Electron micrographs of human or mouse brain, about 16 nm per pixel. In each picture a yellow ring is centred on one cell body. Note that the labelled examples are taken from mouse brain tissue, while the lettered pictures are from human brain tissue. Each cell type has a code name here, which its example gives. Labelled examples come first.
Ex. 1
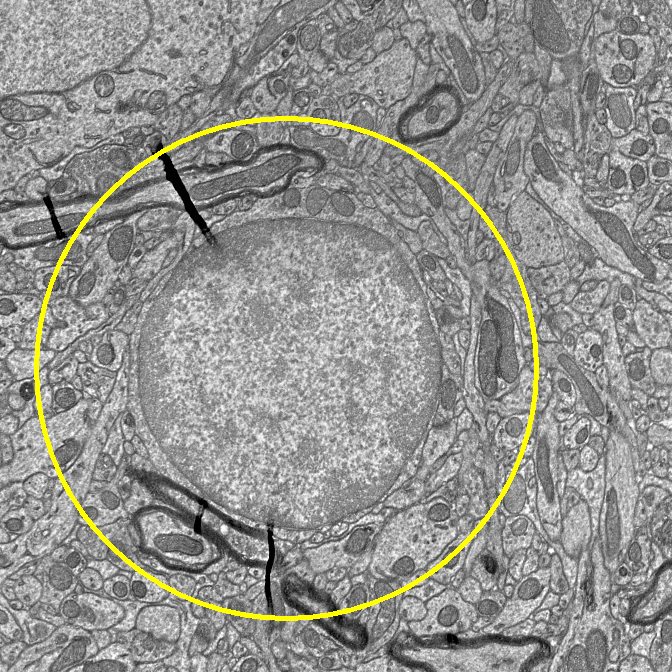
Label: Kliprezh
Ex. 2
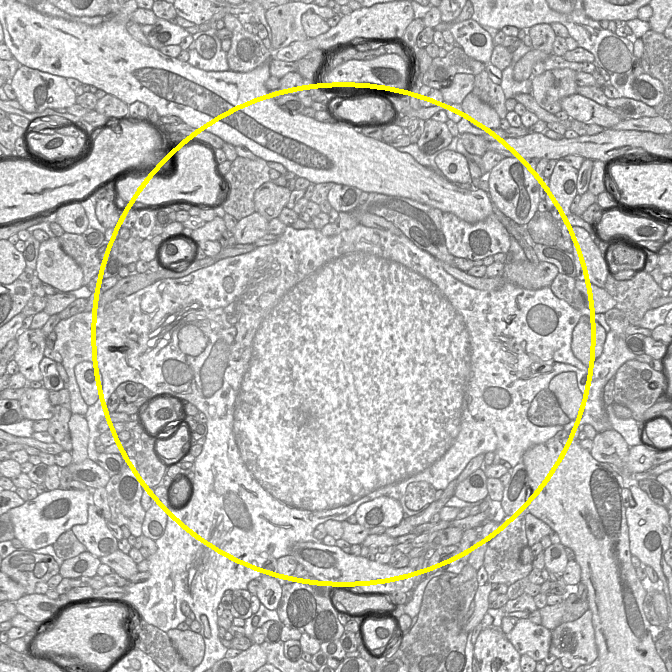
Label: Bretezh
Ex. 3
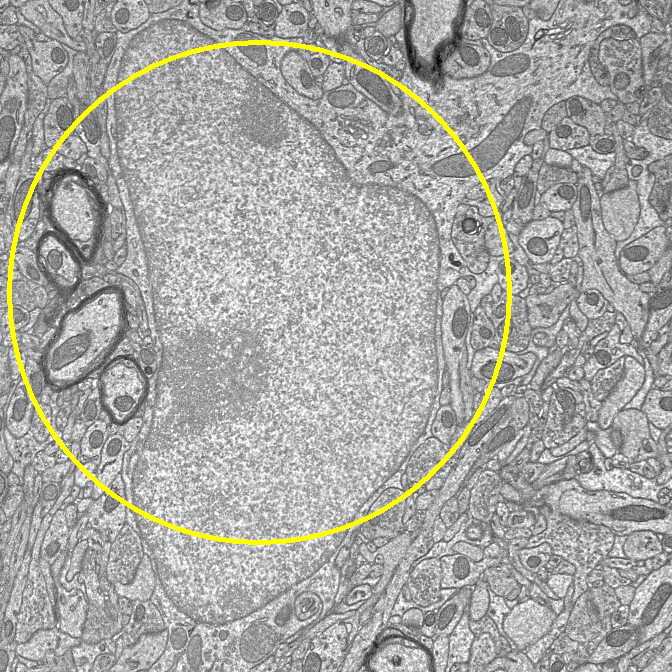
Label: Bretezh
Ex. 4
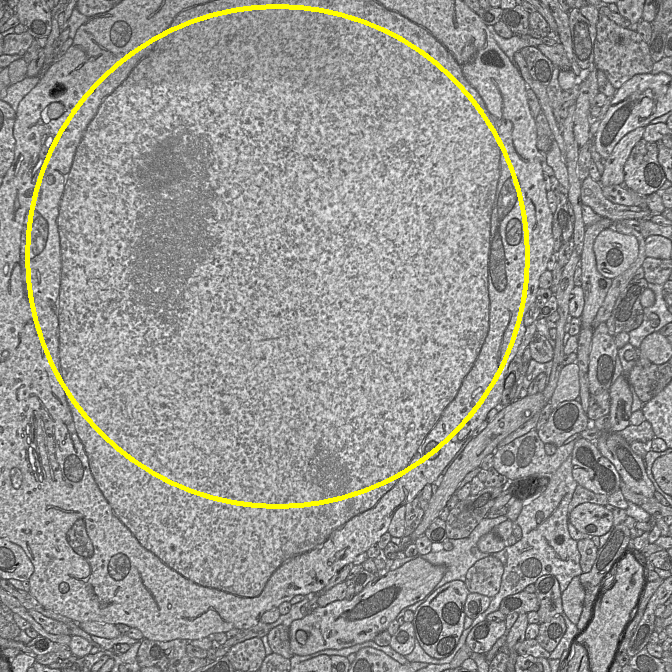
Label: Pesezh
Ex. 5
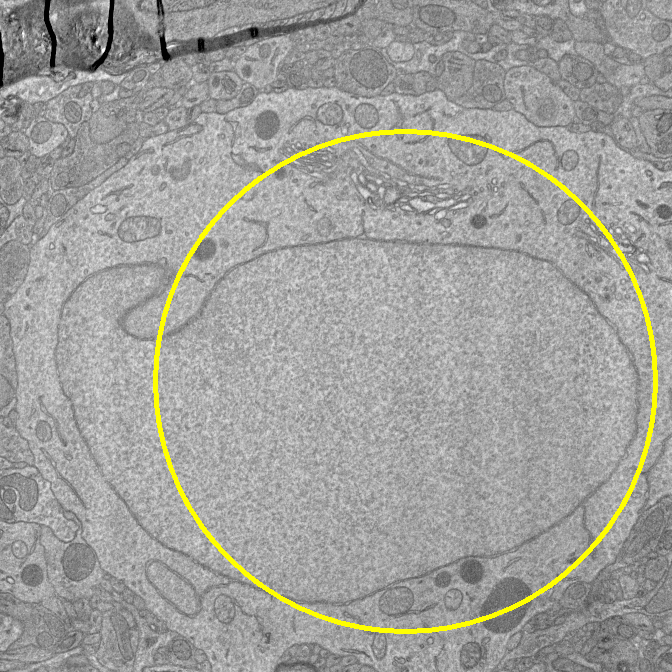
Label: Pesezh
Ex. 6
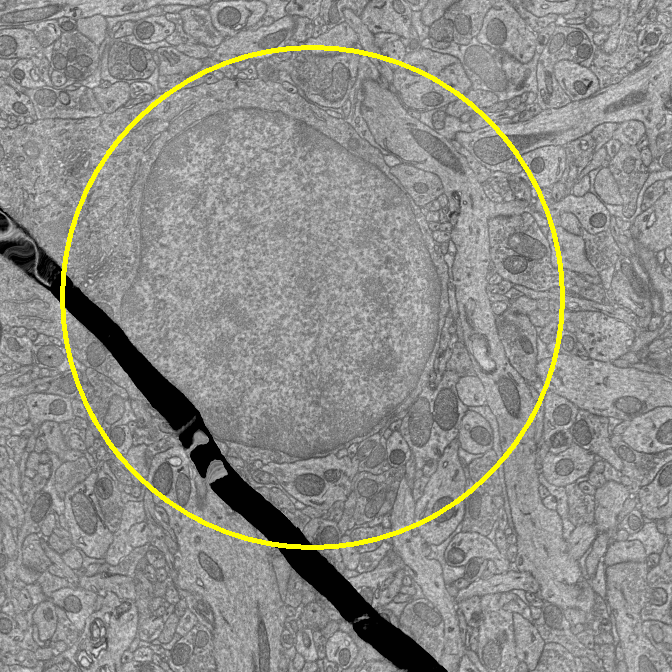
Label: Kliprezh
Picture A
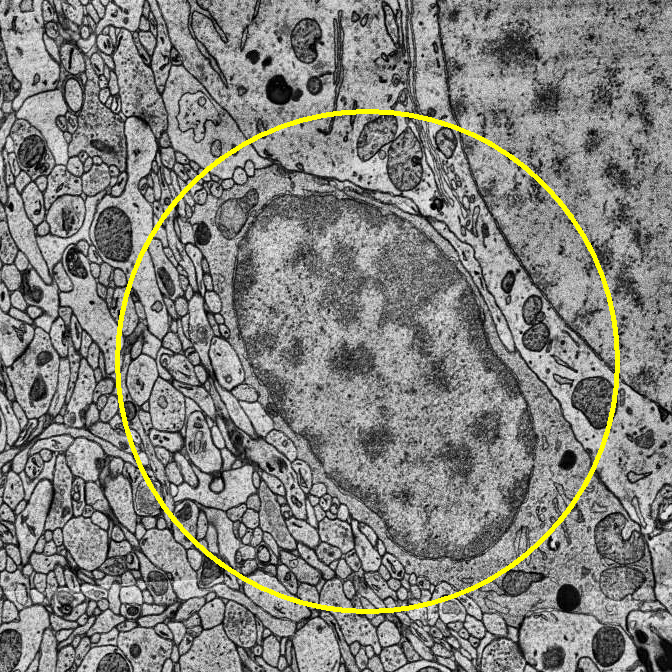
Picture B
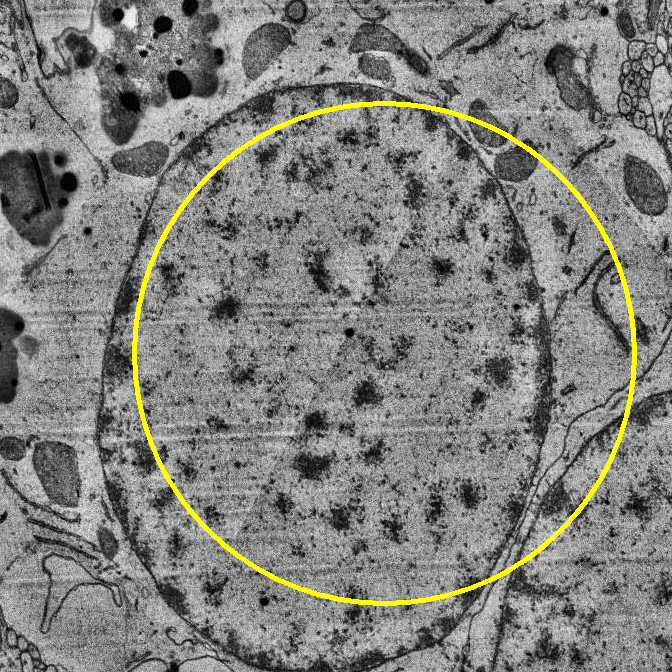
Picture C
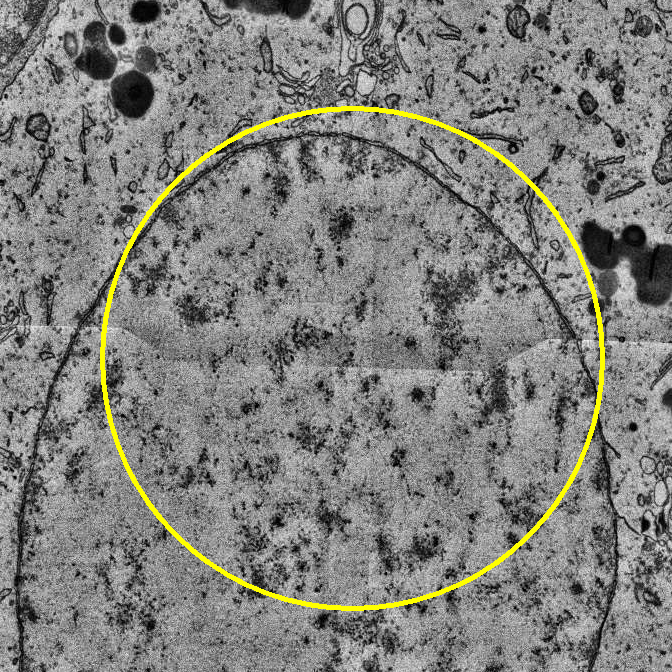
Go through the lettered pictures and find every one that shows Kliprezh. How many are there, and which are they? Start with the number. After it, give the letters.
1, namely A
